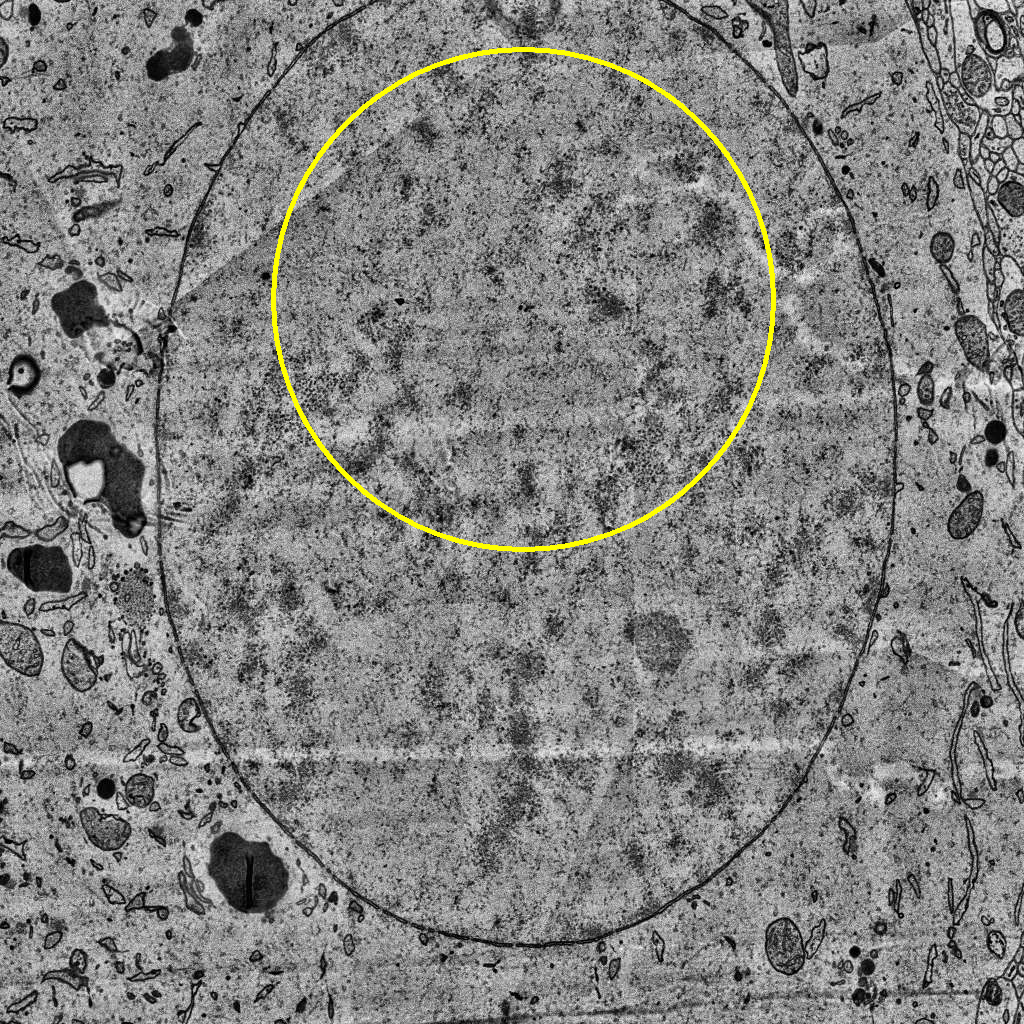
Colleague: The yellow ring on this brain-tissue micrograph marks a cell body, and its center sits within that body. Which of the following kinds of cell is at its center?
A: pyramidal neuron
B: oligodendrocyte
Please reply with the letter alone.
A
